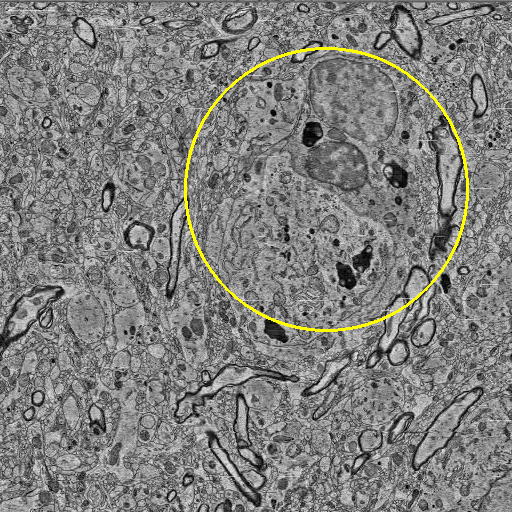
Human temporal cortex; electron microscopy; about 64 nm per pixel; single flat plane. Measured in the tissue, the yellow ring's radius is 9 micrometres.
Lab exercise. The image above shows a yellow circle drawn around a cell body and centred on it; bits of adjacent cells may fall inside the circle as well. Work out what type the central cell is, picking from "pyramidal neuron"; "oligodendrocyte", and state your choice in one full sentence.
In the image above, the cell at the centre of the yellow circle is an oligodendrocyte.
